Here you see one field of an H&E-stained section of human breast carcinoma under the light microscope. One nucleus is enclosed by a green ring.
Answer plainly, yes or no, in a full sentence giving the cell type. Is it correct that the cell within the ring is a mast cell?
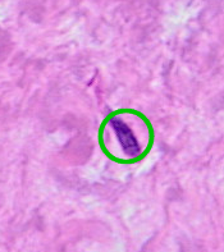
No, the cell within the ring is reported as a fibroblast rather than a mast cell.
